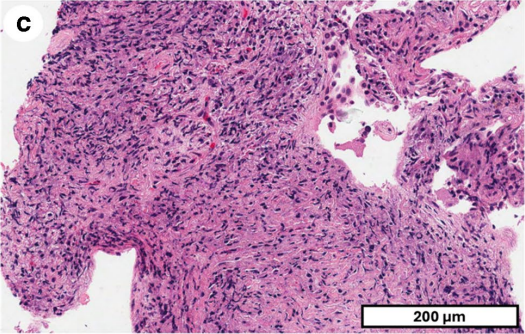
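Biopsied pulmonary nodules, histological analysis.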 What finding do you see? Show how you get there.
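Dense sheets of many small dark nuclei fill the tissue. The cells lie within a pink fibrous stroma with spindle-shaped cells. So: inflammatory infiltrate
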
